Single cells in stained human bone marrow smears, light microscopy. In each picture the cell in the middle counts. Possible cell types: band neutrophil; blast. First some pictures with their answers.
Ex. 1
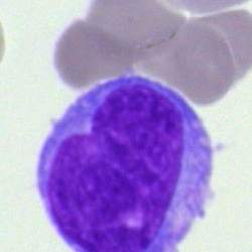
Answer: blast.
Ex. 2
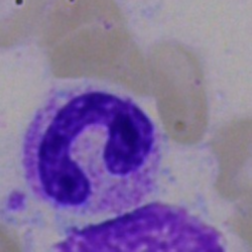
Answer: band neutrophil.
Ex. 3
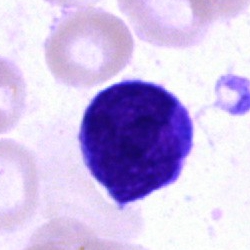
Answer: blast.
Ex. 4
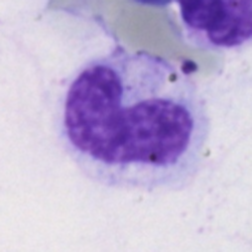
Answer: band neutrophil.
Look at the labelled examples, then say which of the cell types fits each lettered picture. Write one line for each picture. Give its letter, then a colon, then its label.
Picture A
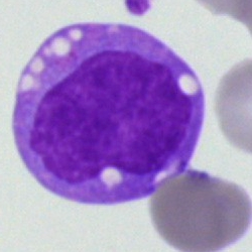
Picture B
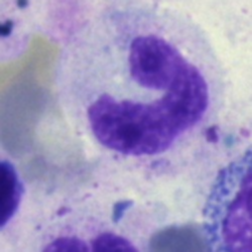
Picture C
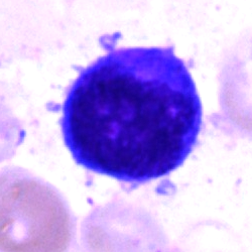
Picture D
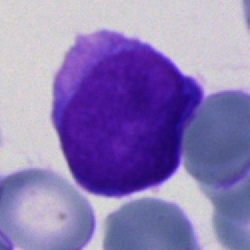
A: blast.
B: band neutrophil.
C: blast.
D: blast.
